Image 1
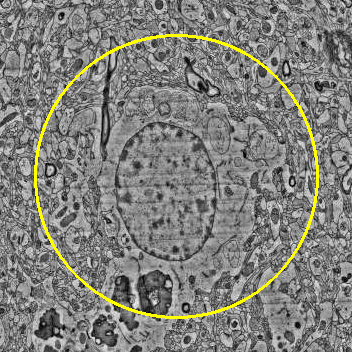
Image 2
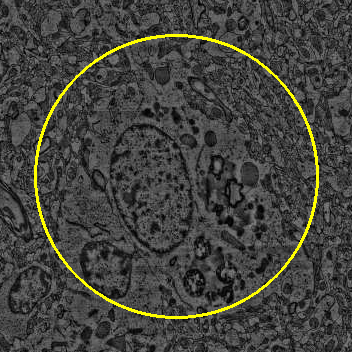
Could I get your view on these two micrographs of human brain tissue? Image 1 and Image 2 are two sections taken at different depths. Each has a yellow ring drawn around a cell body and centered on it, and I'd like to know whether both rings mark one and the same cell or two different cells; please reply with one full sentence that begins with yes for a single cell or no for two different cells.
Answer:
No, two different cells appear inside the two yellow rings.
